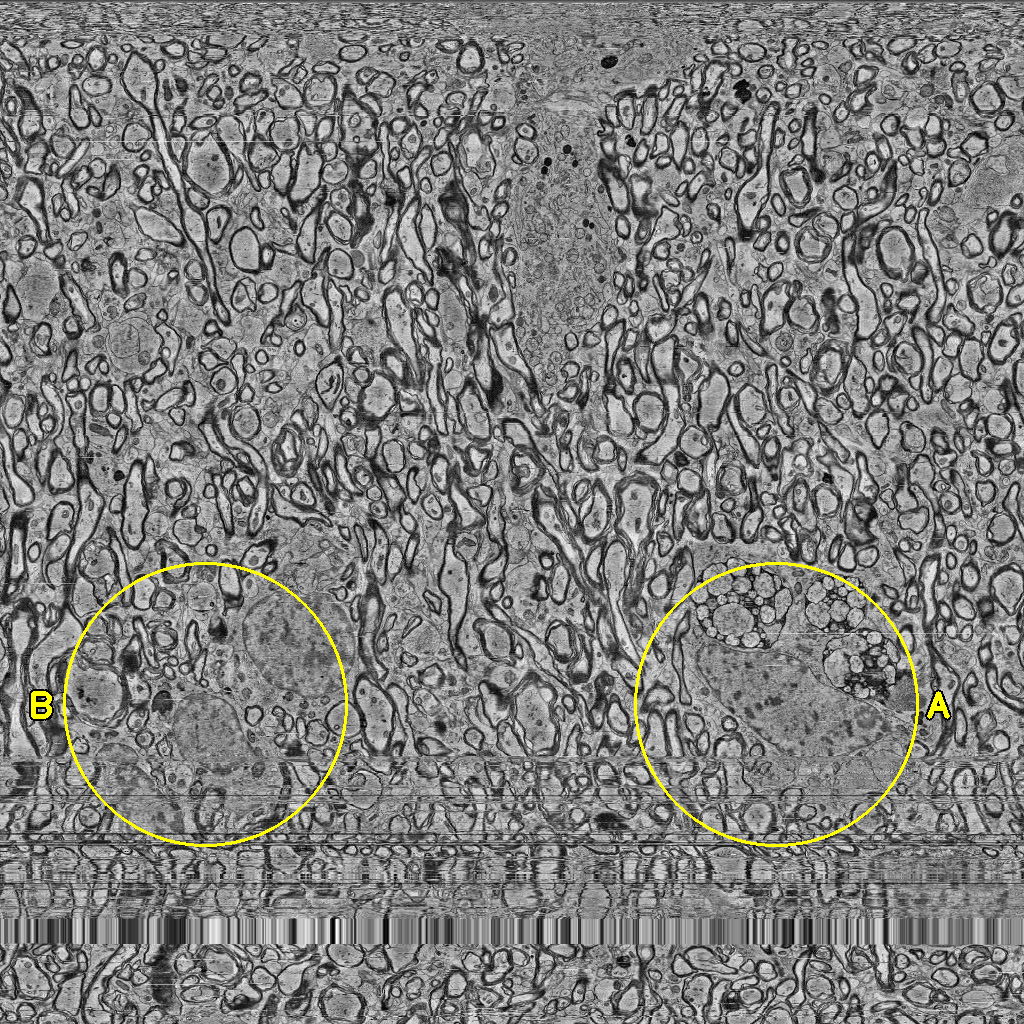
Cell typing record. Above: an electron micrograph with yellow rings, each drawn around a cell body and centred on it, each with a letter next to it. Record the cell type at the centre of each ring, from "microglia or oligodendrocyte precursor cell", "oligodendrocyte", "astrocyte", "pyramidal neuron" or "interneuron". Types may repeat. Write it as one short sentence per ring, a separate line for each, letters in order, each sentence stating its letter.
Ring A circles an astrocyte.
Ring B circles an oligodendrocyte.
